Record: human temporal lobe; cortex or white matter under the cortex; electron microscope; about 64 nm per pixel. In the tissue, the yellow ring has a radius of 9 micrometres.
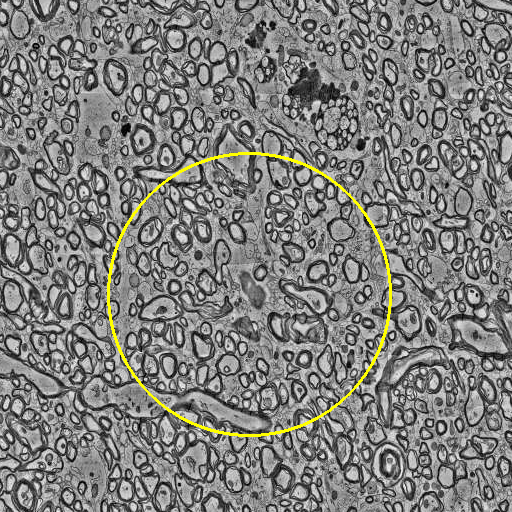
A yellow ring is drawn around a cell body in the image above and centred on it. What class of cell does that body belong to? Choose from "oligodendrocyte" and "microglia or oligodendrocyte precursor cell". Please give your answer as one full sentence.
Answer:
The yellow ring above is centred on the cell body of a microglial cell or oligodendrocyte precursor cell.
